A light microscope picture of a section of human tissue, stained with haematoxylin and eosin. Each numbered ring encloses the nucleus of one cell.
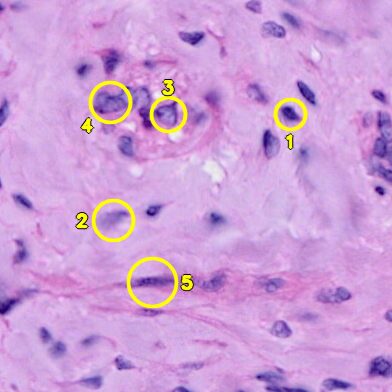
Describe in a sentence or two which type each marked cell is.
Cell 1 is a fibroblast, cell 2 is a fibroblast, cell 3 is an endothelial cell, cell 4 is an endothelial cell and cell 5 is a smooth muscle cell.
